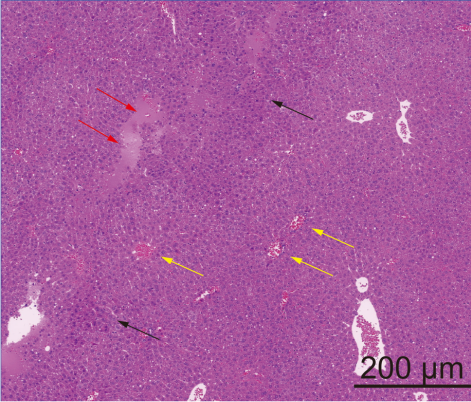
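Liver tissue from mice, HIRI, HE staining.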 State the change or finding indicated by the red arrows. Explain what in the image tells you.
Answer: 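Coagulative necrosis. The red arrows point to a pale, washed-out patch of tissue. The pale patch lacks the dense purple nuclear staining of the surrounding parenchyma.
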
